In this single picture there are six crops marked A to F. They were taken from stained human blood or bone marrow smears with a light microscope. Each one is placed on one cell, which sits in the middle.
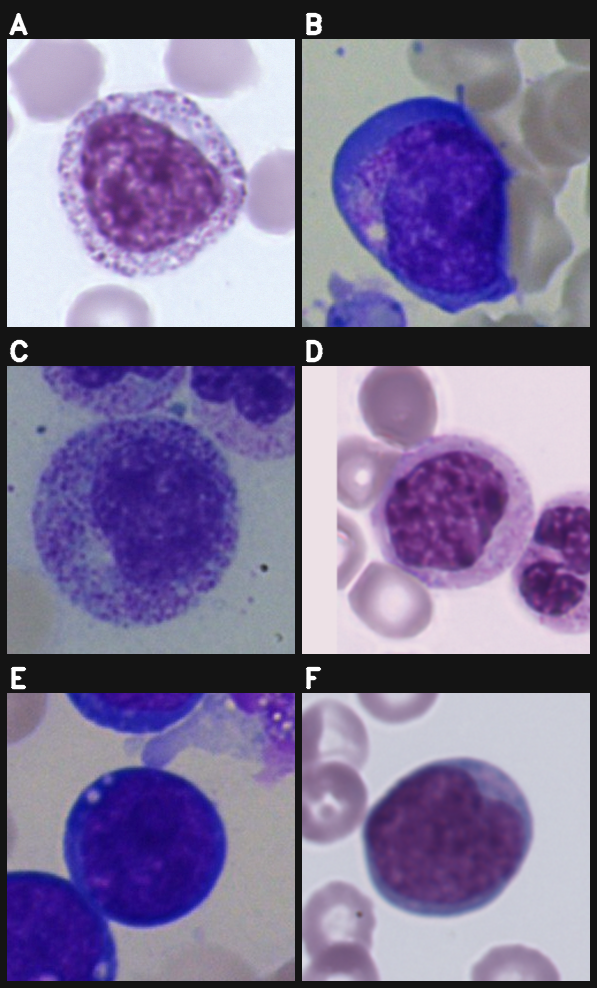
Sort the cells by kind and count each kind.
myelocyte: 3
blast: 3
